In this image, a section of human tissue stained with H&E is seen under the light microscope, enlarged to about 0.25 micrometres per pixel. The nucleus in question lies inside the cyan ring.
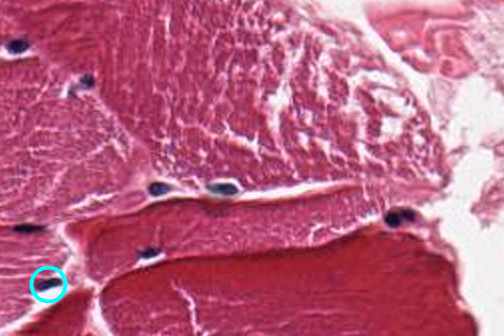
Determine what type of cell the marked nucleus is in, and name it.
skeletal muscle fibre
